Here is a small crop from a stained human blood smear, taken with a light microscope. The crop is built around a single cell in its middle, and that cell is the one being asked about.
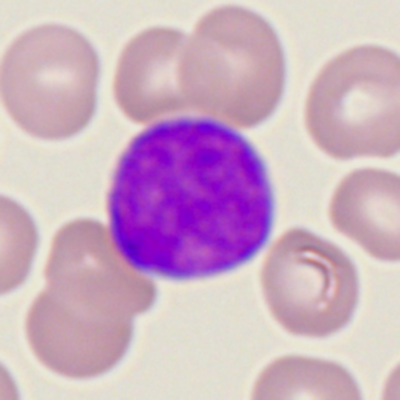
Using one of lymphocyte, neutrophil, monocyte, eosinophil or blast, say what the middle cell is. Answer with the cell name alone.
blast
